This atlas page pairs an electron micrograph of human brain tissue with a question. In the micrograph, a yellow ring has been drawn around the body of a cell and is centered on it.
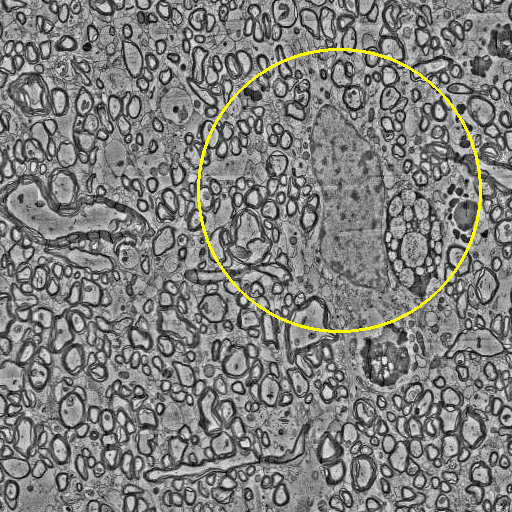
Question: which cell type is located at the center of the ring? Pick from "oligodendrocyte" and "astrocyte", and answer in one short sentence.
Located at the center of the ring is an astrocyte.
